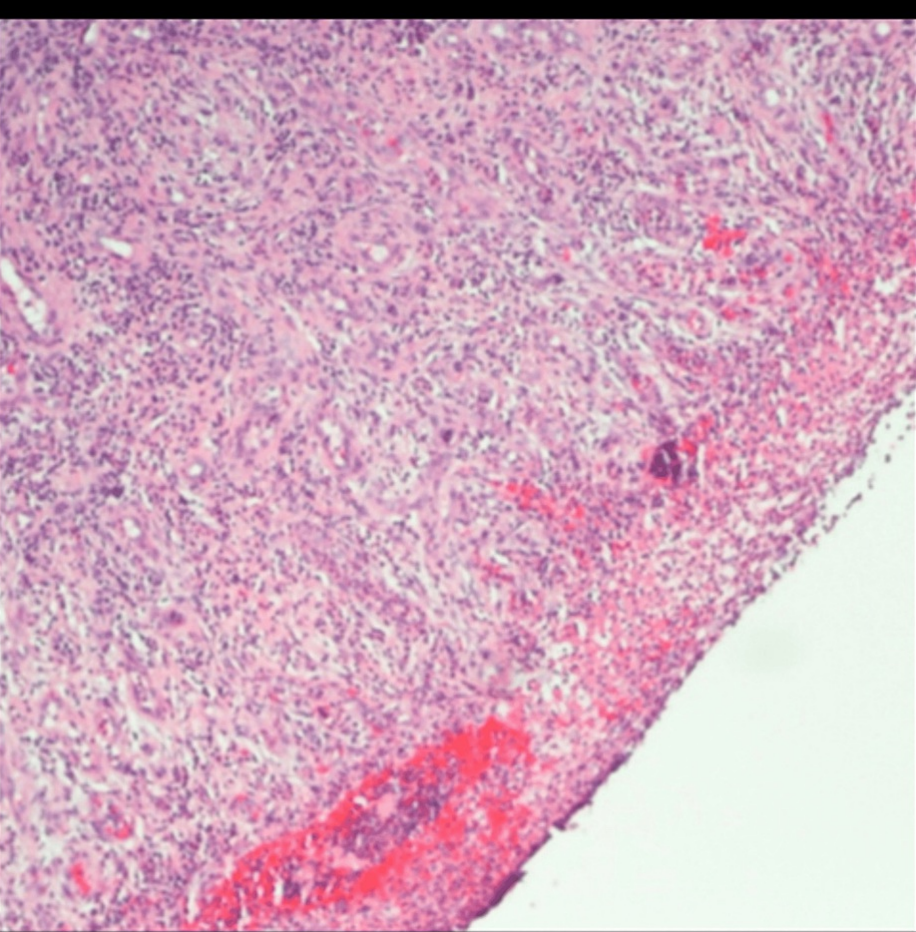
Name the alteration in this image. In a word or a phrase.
Inflammatory infiltrate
